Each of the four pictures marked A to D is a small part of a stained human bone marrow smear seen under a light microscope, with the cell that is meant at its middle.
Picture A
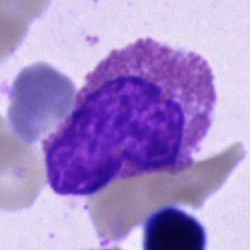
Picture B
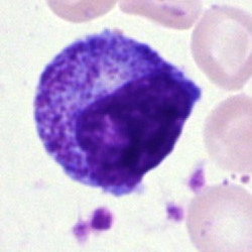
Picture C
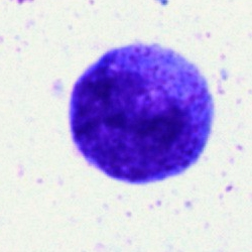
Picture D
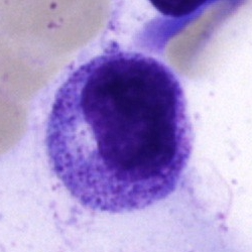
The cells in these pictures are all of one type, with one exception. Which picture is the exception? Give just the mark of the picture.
A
